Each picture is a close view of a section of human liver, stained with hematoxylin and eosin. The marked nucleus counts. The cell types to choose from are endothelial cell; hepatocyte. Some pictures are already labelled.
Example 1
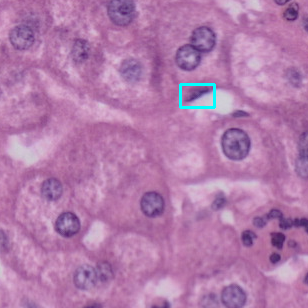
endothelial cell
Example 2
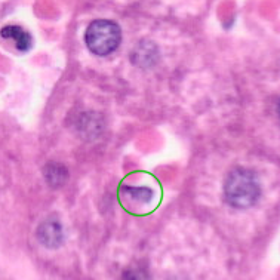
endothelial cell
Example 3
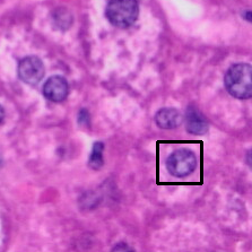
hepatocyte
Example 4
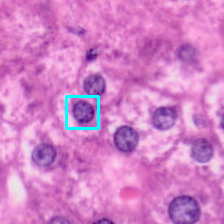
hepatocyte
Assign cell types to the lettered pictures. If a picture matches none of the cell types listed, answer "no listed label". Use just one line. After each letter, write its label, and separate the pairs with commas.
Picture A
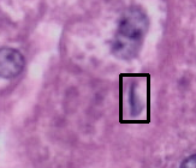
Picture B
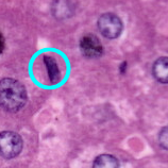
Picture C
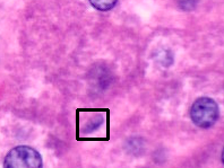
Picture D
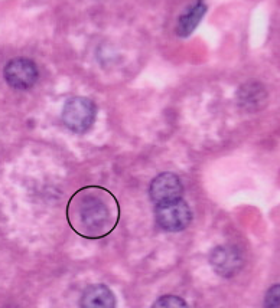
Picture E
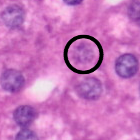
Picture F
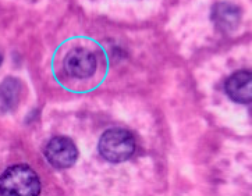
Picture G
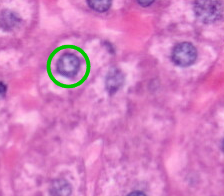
A endothelial cell, B no listed label, C endothelial cell, D hepatocyte, E hepatocyte, F hepatocyte, G hepatocyte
